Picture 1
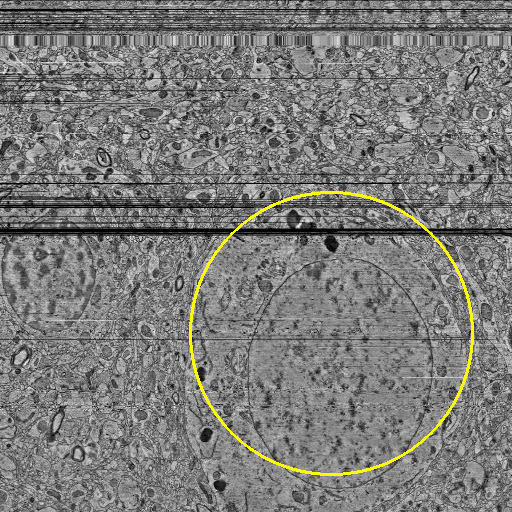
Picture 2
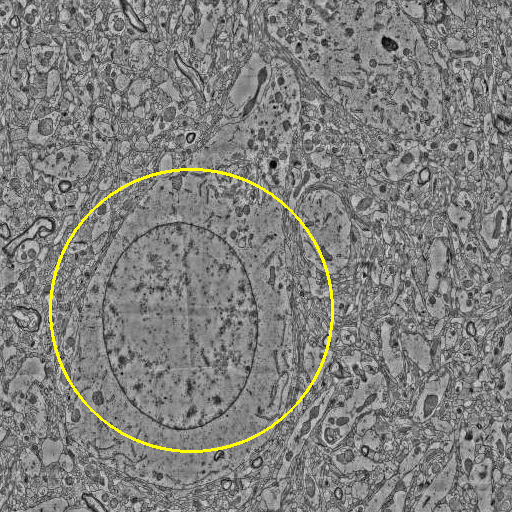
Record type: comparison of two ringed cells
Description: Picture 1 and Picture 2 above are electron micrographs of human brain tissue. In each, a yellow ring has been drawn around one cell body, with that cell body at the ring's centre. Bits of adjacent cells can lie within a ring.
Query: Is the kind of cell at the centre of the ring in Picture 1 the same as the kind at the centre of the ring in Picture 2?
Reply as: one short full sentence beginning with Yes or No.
Yes, the two ringed cells are of the same kind.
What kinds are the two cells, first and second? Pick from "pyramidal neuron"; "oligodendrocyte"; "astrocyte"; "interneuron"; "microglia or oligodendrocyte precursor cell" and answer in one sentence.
Each of the two cells is a pyramidal neuron.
